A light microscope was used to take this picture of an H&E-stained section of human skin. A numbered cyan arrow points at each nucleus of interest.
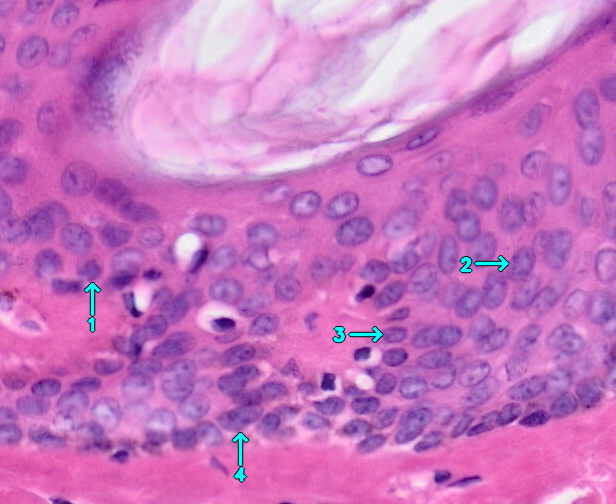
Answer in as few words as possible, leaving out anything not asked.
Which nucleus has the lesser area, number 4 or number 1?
1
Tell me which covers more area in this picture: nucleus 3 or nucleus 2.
2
